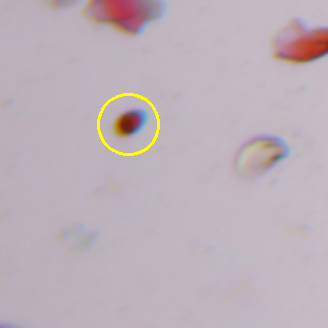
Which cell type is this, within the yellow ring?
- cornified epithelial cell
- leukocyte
Within the ring is a leukocyte.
